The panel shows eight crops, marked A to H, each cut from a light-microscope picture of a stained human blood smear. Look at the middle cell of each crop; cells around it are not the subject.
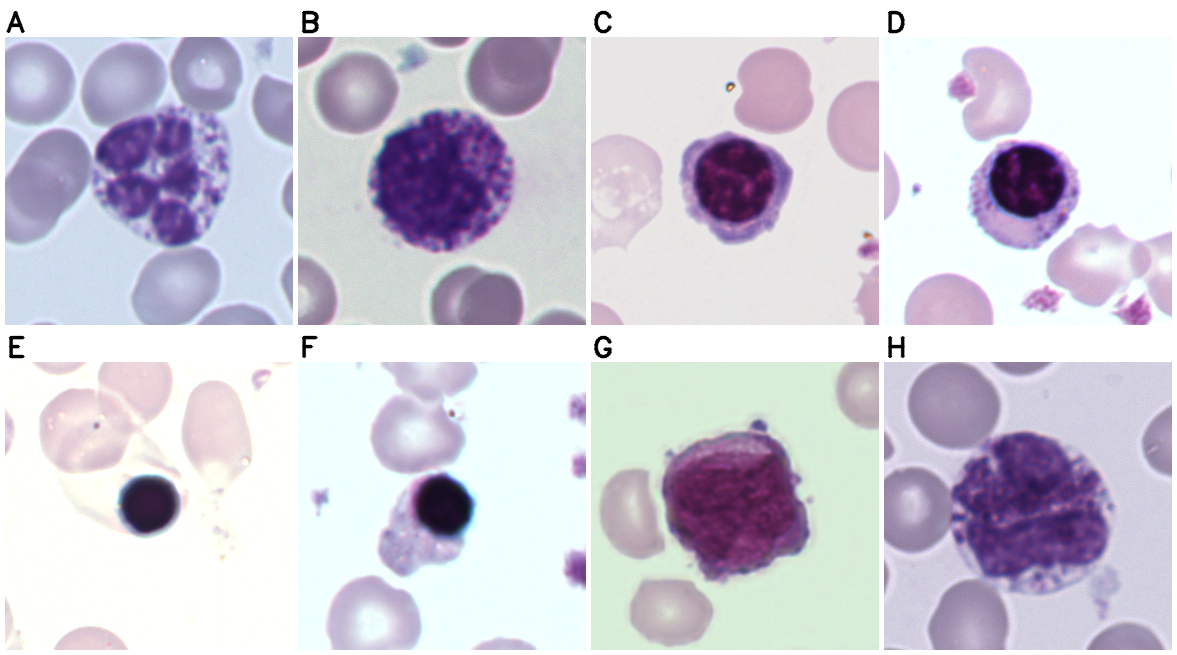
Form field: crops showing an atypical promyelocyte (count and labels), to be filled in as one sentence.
Exactly one crop, the one labelled G, contains an atypical promyelocyte as its central cell.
